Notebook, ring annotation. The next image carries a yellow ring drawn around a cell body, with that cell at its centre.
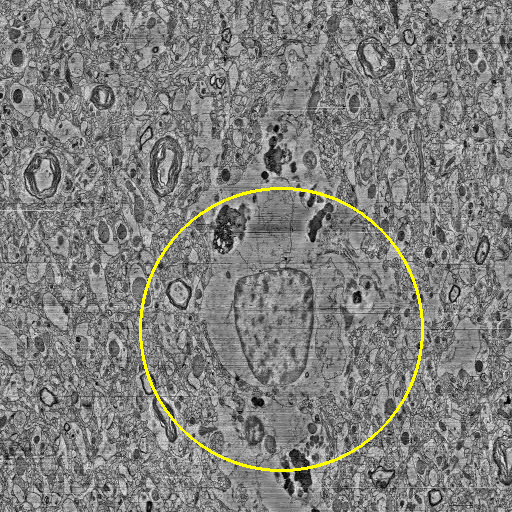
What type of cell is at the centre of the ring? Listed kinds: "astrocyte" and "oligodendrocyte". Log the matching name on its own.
astrocyte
